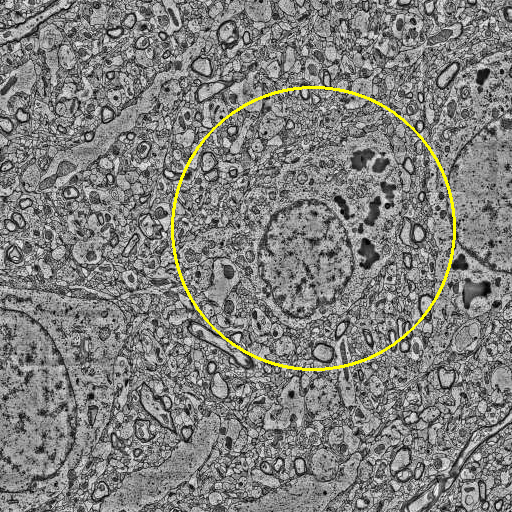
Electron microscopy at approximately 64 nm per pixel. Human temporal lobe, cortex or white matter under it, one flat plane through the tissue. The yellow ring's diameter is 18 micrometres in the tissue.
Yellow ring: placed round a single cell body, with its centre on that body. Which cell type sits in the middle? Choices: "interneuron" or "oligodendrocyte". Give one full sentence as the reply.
It is an interneuron whose cell body sits at the centre of the yellow ring.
